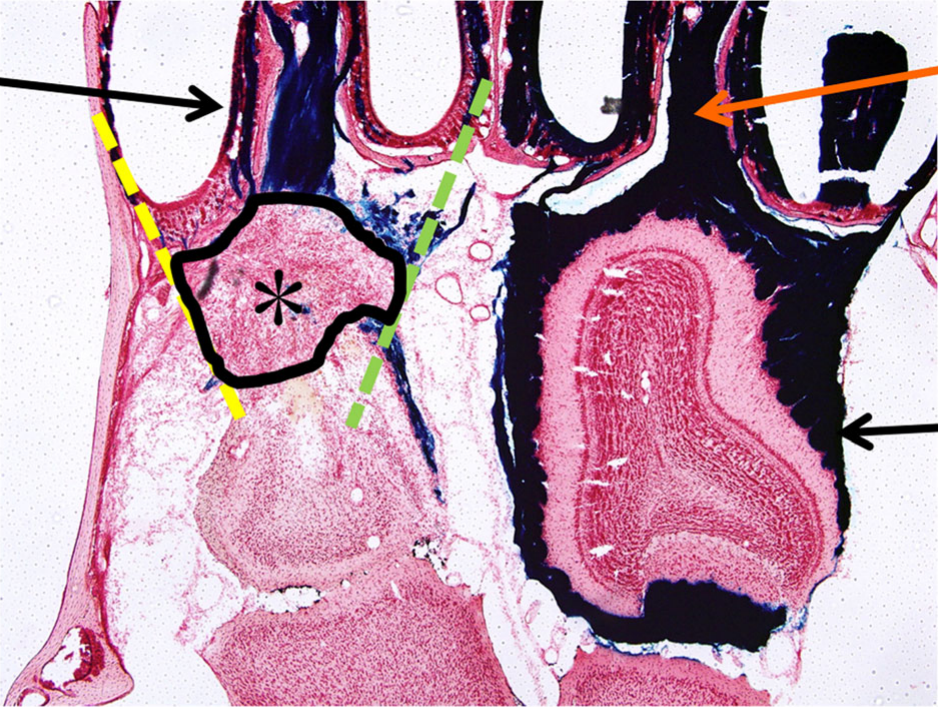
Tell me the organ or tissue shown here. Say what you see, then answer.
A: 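Two rounded pink brain structures lie behind the air spaces of the nasal cavity. The right structure shows concentric layers ringed by a blue rim.
Olfactory bulbs.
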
